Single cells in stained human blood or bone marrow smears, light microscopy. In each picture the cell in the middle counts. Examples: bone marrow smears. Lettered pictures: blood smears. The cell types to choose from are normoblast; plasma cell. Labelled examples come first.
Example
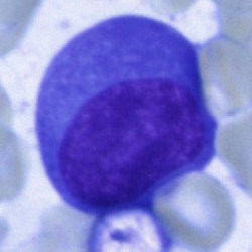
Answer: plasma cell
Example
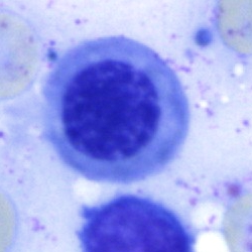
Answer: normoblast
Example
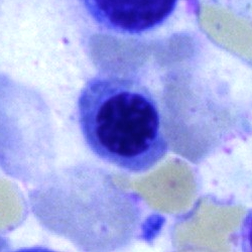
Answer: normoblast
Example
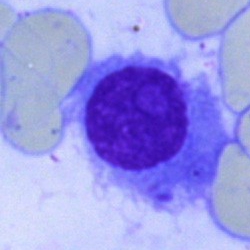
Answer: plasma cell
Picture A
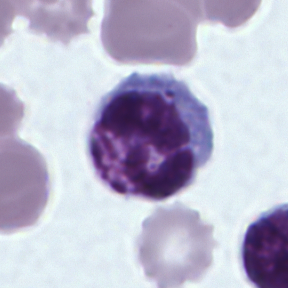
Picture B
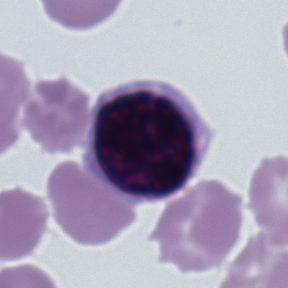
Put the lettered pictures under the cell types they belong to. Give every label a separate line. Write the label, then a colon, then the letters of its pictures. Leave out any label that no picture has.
normoblast: B
plasma cell: A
